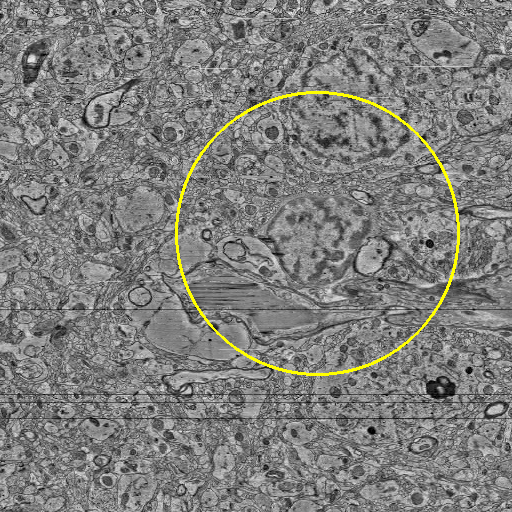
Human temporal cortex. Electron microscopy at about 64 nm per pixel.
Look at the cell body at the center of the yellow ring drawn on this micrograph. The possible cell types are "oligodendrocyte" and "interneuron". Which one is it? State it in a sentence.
The cell in the middle of the ring is an oligodendrocyte.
